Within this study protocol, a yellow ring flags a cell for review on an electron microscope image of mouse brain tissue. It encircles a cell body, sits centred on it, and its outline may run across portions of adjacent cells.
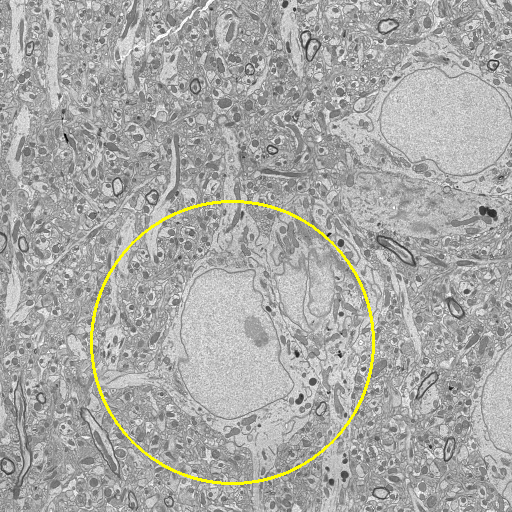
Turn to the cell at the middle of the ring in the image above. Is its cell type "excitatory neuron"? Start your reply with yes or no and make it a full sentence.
Yes, the cell at the ring's centre in the image above has that cell type.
